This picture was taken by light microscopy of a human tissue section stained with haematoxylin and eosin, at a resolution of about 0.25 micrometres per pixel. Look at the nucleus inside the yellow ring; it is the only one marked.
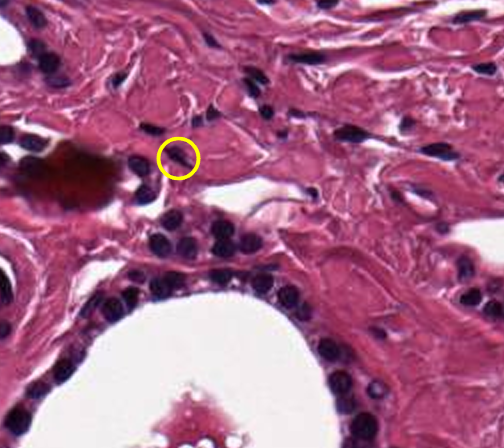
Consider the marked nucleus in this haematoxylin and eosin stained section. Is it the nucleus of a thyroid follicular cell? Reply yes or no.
no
